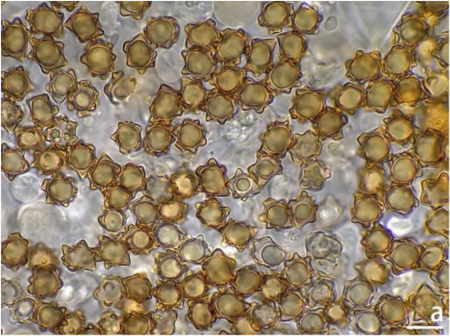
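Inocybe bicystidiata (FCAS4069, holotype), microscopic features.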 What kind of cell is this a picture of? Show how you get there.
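Basidiospores. Many small, roughly equal-sized single cells packed together. Each has a thick yellow-brown wall with an angular, knobbed outline.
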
